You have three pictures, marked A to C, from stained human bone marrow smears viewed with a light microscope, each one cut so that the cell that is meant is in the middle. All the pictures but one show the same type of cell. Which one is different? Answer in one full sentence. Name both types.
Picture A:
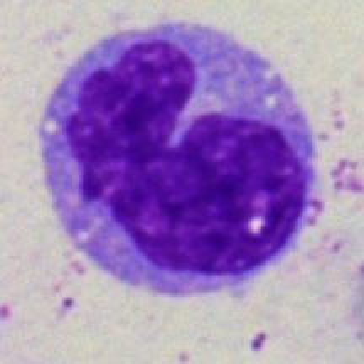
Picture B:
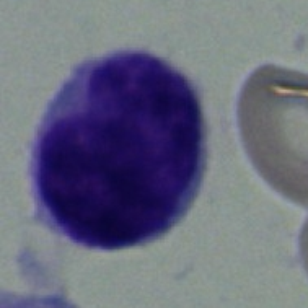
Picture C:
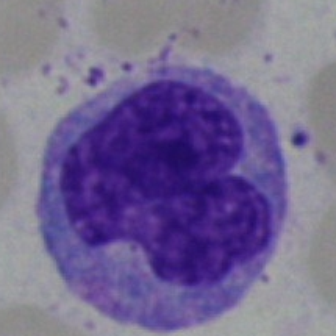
Unlike the rest, which show monocytes, picture B shows a lymphocyte.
